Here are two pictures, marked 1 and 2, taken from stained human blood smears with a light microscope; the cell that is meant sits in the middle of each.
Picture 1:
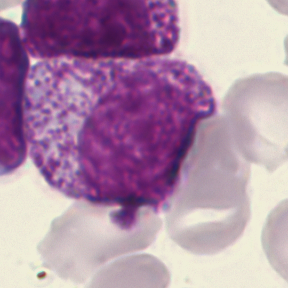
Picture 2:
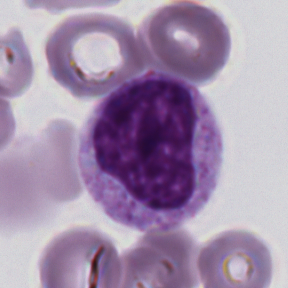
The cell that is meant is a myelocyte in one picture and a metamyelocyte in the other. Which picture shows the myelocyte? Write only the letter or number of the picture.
1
